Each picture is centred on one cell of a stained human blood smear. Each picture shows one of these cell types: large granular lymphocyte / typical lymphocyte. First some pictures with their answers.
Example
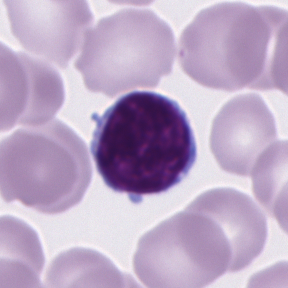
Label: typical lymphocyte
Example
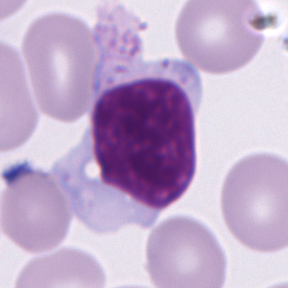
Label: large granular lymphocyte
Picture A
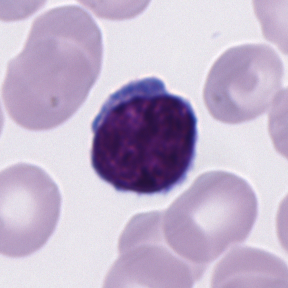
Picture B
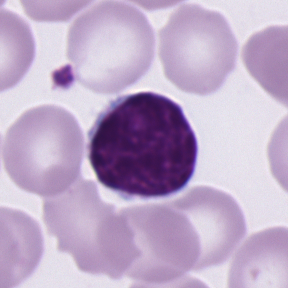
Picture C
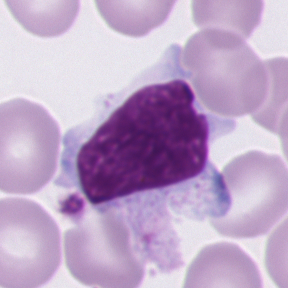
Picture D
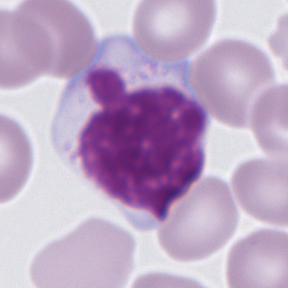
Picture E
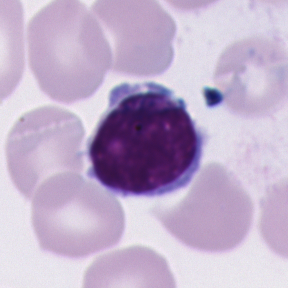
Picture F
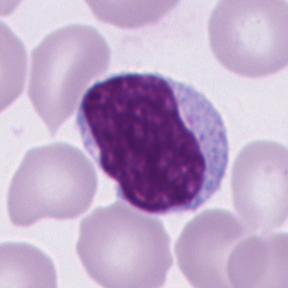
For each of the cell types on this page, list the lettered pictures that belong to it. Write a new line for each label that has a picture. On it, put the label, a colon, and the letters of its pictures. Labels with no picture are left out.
large granular lymphocyte: C, D
typical lymphocyte: A, B, E, F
